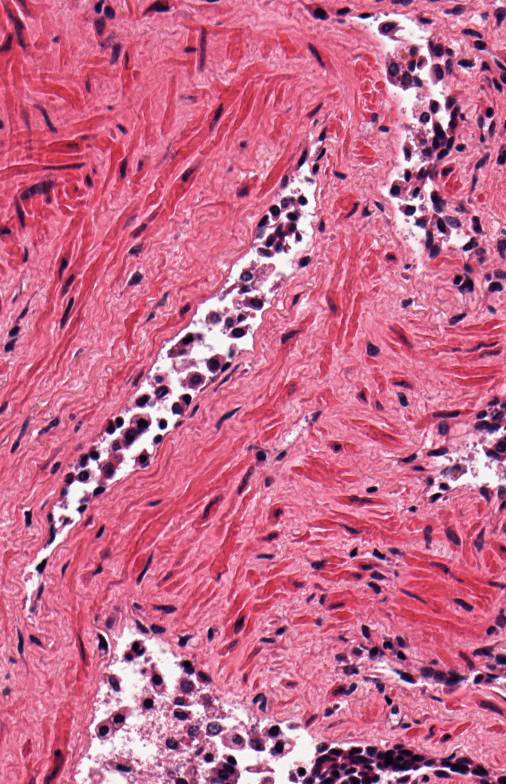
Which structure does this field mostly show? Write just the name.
fibromuscular stroma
